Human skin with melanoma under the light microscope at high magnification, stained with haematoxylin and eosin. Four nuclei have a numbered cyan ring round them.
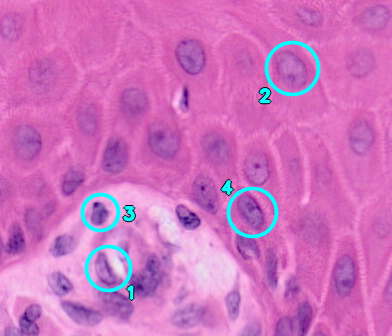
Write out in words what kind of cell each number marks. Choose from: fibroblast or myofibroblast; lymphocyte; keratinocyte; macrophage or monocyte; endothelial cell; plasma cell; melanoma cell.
Cell 1 is an endothelial cell. Cells 2 and 4 are keratinocytes. Cell 3 is a lymphocyte.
